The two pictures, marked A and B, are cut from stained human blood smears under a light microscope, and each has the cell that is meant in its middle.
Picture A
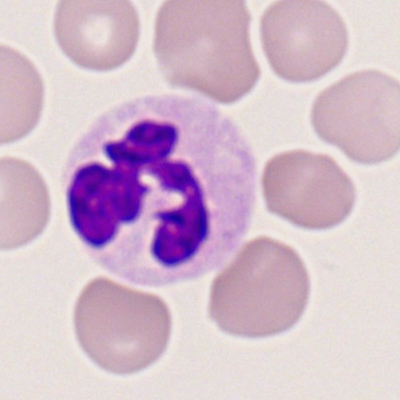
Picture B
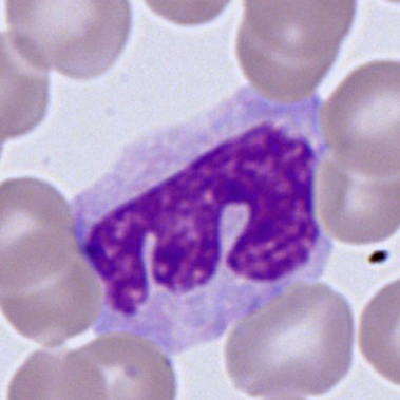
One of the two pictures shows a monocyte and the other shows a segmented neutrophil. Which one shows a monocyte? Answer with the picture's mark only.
B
